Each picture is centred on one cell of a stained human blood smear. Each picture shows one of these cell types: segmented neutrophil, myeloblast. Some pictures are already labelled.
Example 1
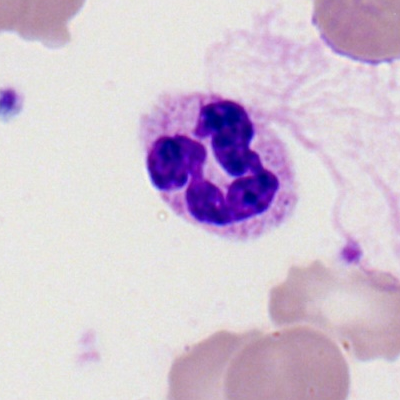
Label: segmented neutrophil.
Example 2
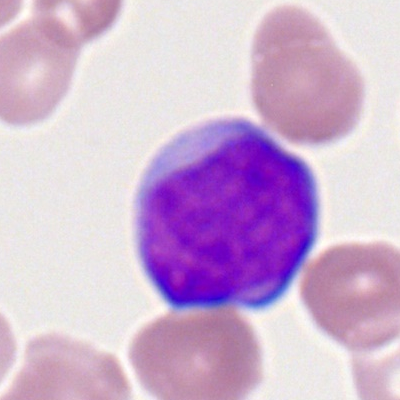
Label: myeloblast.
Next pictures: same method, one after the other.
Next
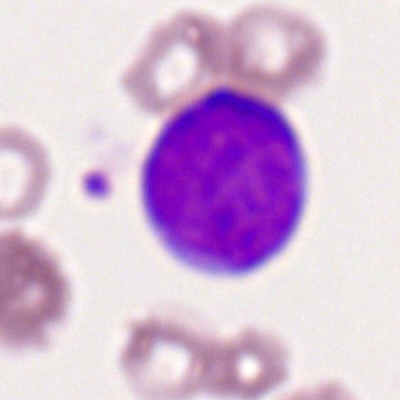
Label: myeloblast.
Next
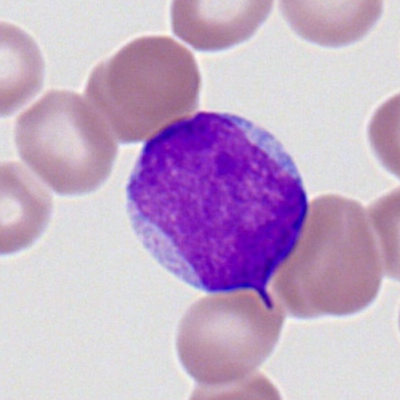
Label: myeloblast.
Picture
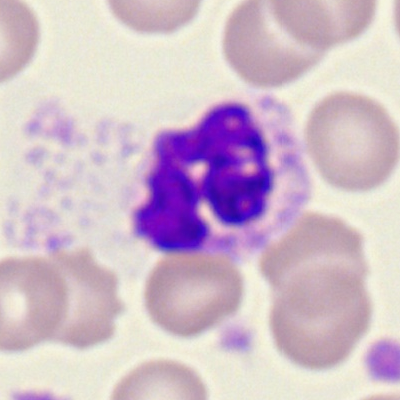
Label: segmented neutrophil.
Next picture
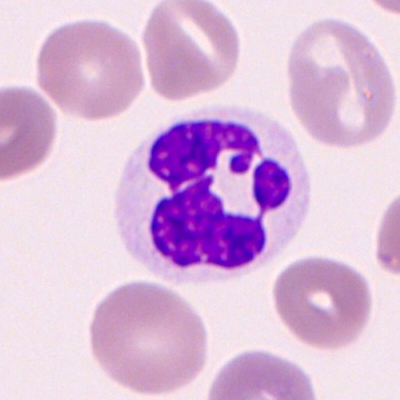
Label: segmented neutrophil.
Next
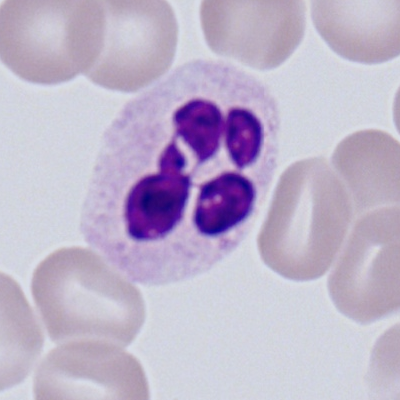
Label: segmented neutrophil.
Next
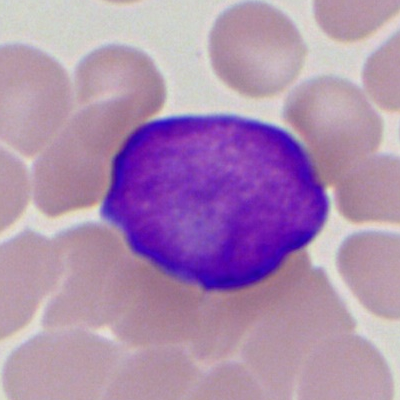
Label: myeloblast.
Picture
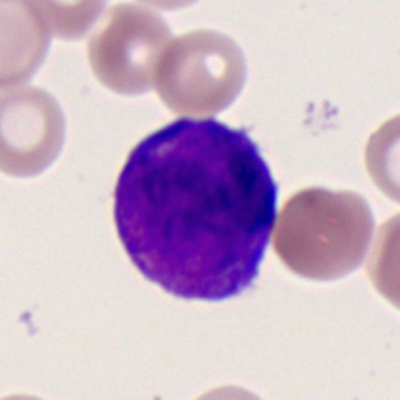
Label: myeloblast.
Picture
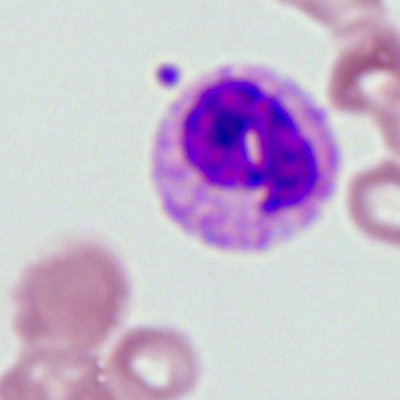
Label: segmented neutrophil.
